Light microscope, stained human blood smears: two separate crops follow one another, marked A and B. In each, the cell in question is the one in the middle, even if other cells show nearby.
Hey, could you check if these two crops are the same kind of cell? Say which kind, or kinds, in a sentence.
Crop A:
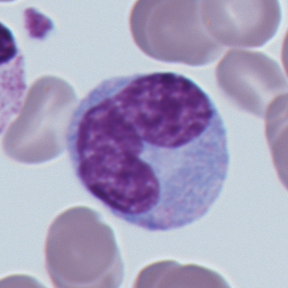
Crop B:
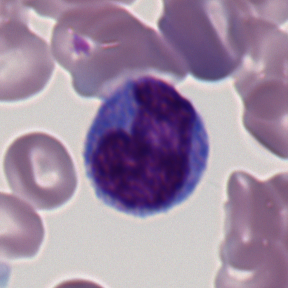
Yes, the central cells of both crops are monocytes.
